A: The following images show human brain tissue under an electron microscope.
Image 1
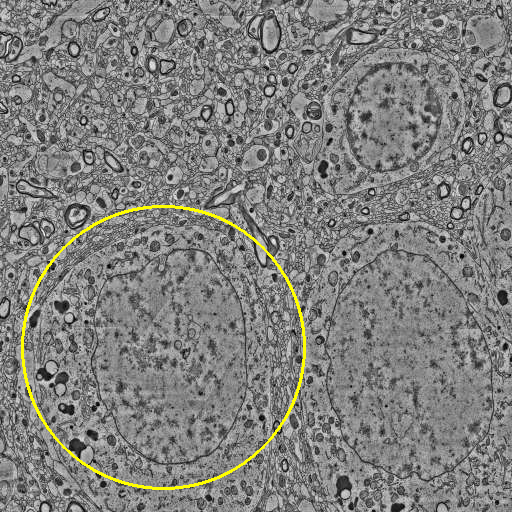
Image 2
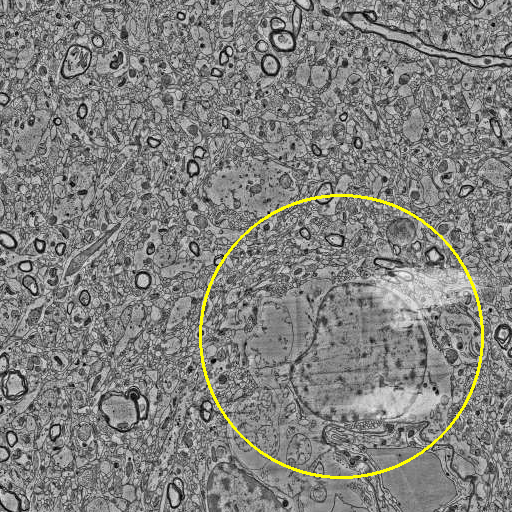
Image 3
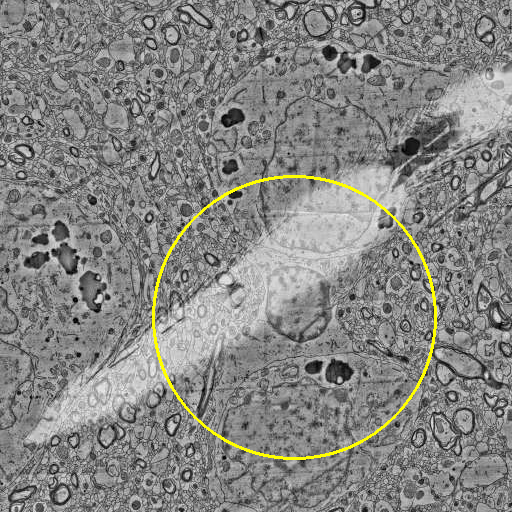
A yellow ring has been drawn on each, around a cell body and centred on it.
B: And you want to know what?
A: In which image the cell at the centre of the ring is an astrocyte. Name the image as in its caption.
Image 2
